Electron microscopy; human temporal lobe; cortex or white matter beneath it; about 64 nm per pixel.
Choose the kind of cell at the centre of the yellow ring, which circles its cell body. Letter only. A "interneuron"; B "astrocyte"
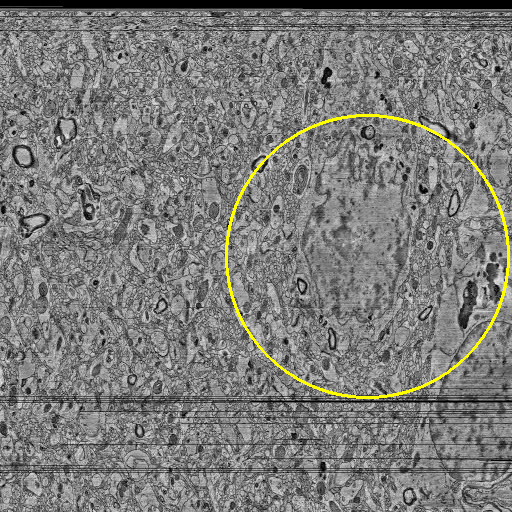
A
